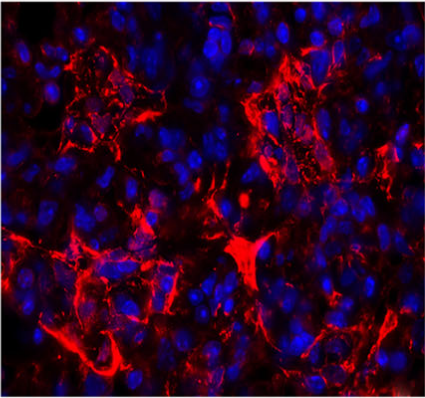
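The blue nuclei are oval and packed close together, with few open spaces between them. The red cells have irregular, branching shapes whose strands wind between and around groups of nuclei, forming a network through the field.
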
